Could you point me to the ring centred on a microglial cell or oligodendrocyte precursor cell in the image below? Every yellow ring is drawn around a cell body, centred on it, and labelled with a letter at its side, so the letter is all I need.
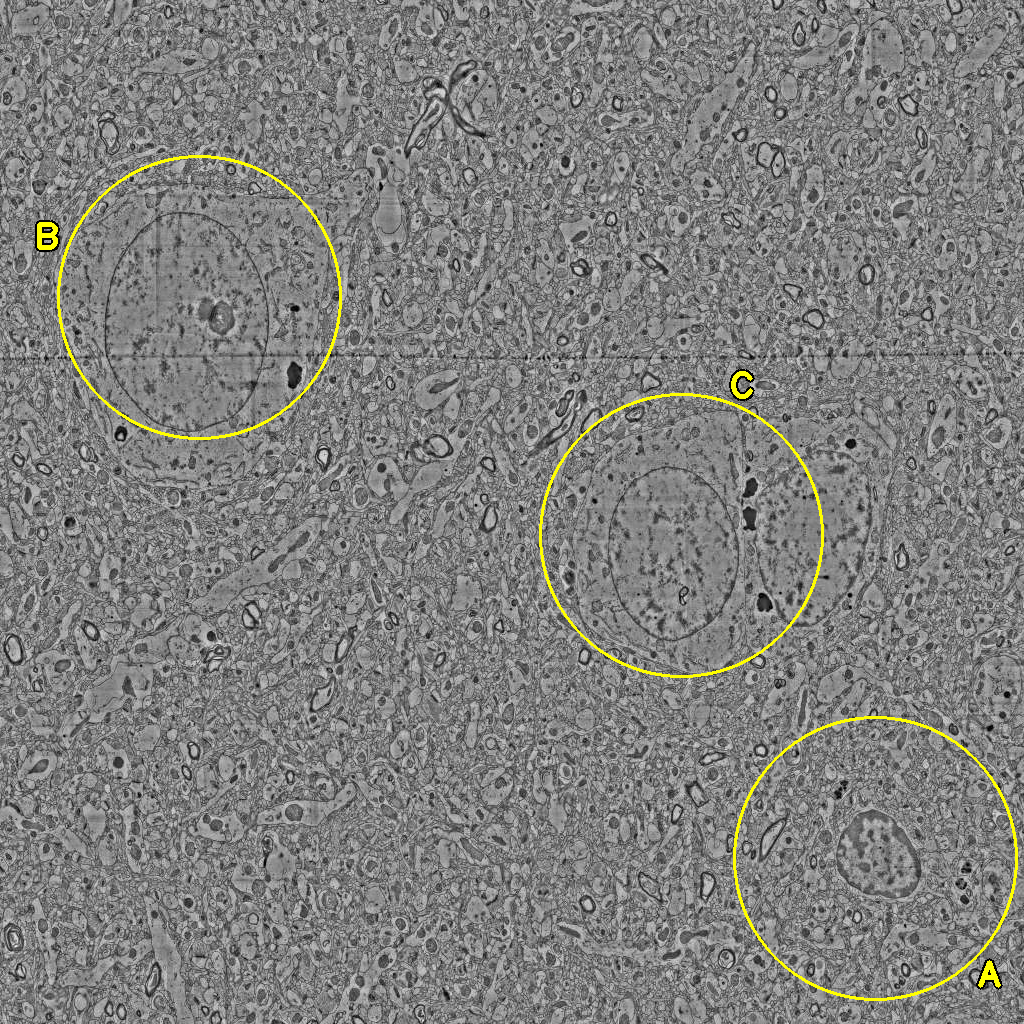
A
